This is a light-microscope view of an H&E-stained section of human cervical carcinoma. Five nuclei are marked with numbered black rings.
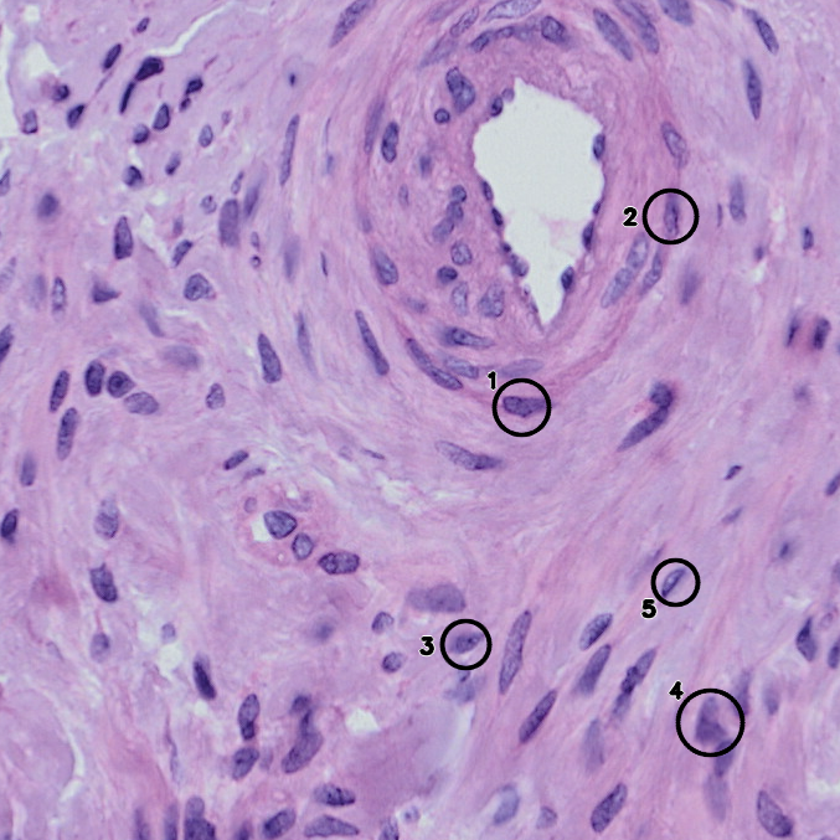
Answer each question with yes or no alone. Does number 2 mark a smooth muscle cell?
yes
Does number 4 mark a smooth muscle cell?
no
